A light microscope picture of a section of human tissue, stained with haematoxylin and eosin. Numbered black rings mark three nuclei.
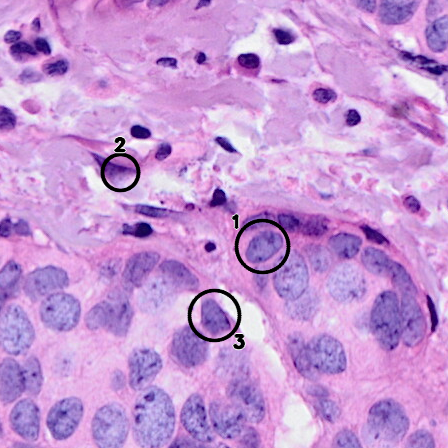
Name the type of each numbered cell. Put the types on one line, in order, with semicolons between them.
carcinoma cell; fibroblast; carcinoma cell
